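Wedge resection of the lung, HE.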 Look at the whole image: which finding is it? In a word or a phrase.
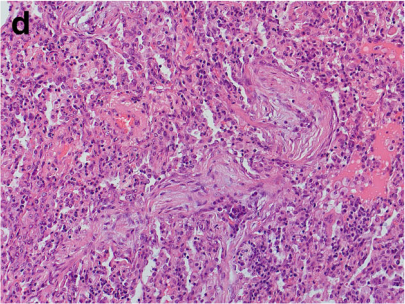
Intraalveolar fibromyxoid proliferations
